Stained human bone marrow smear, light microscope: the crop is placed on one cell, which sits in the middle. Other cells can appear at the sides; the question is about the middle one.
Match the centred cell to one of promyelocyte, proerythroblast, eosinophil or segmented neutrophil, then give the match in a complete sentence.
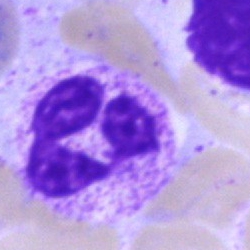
The cell nearest the centre of this crop is a segmented neutrophil.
